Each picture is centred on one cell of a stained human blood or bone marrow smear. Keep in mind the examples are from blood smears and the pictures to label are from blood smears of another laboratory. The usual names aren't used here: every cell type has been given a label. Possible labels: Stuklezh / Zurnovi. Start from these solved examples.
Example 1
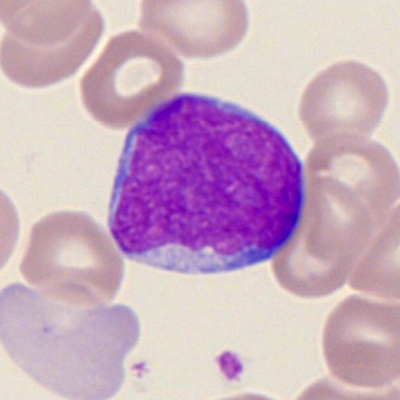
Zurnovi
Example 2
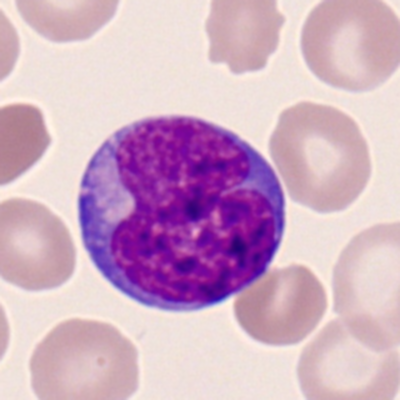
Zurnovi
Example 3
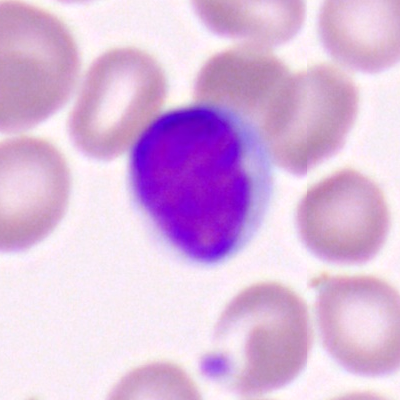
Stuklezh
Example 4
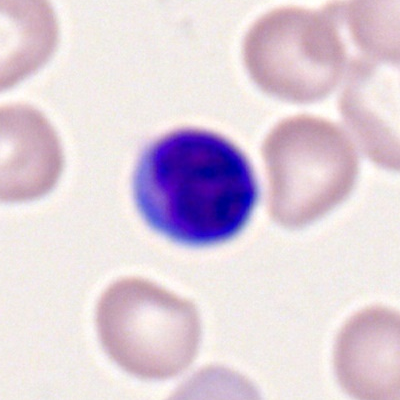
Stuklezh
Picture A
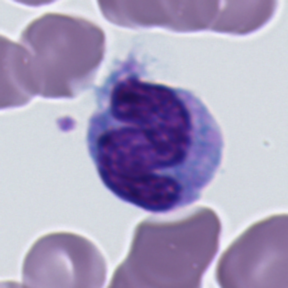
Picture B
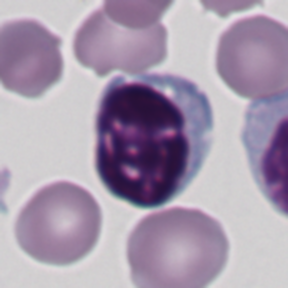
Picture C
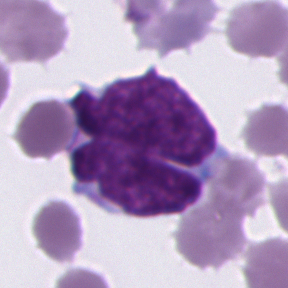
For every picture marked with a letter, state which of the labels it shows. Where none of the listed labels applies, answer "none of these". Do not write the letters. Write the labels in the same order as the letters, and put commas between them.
none of these, Stuklezh, none of these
